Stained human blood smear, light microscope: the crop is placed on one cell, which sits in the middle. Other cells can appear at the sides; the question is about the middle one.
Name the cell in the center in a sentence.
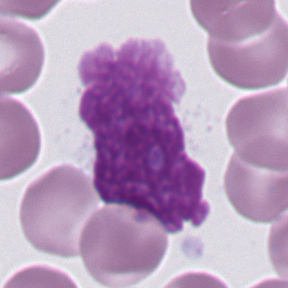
The center cell of this crop is a smudge cell.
